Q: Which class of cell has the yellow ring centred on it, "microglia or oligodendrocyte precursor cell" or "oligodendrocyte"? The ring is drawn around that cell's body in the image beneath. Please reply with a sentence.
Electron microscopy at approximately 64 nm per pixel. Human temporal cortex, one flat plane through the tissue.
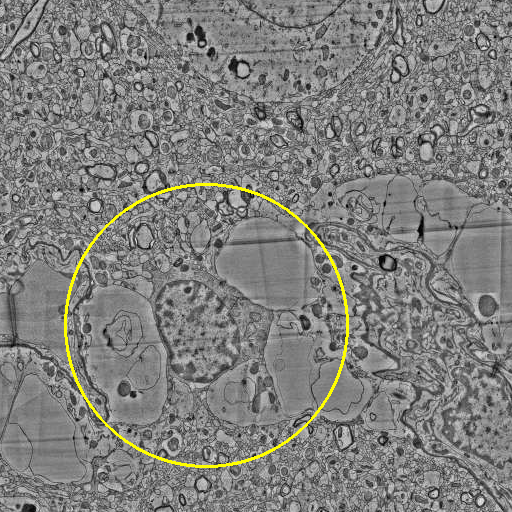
It is centred on an oligodendrocyte.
